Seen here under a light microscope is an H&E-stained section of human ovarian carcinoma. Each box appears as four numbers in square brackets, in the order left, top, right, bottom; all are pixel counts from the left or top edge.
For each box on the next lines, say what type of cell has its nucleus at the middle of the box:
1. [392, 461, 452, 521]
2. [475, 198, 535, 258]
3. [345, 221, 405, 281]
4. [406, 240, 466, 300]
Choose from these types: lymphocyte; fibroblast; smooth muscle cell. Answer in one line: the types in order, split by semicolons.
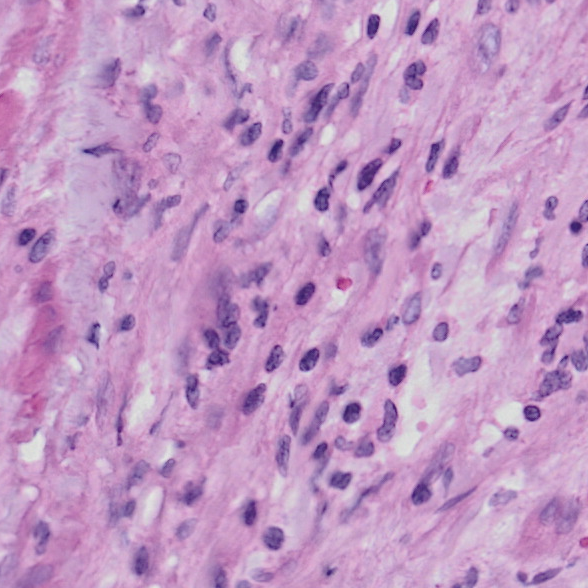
lymphocyte; fibroblast; fibroblast; lymphocyte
